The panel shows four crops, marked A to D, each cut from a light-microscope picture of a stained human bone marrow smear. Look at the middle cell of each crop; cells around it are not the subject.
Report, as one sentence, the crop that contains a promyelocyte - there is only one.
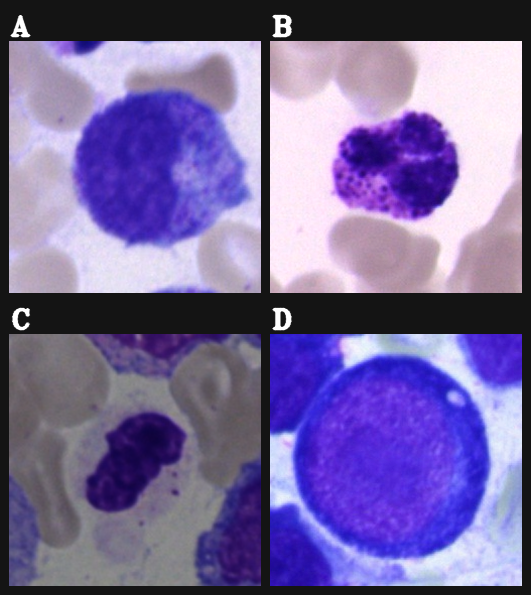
In the set of crops, crop A is the one that contains a promyelocyte.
